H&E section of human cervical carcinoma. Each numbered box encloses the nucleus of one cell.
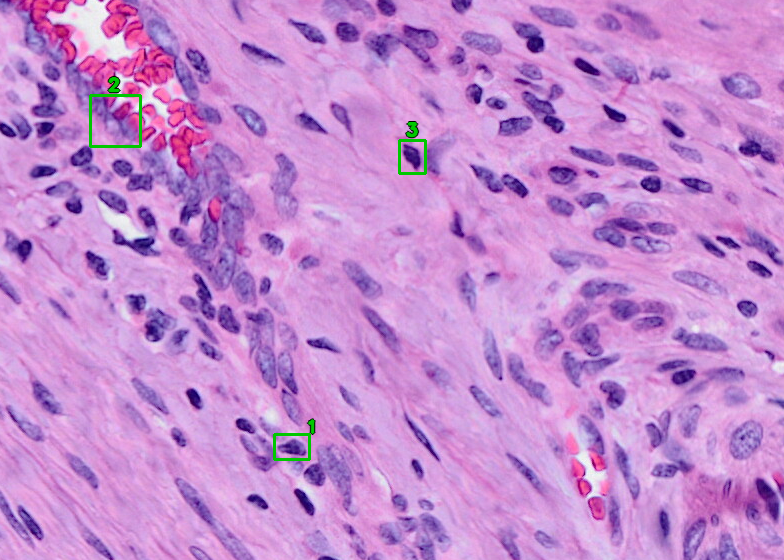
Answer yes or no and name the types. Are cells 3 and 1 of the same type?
Yes, both are lymphocytes.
